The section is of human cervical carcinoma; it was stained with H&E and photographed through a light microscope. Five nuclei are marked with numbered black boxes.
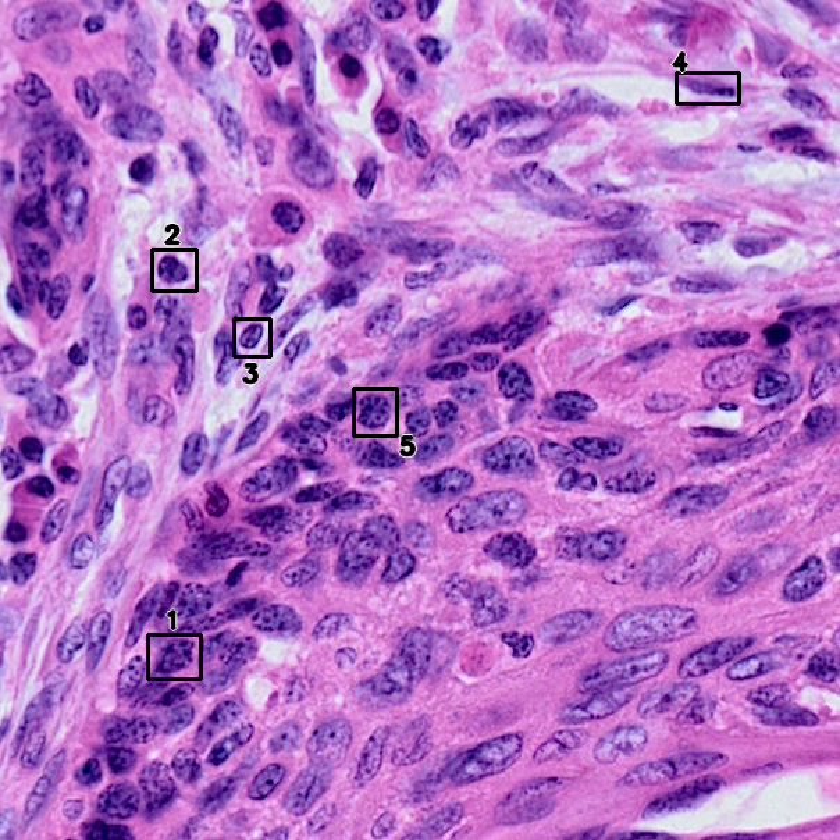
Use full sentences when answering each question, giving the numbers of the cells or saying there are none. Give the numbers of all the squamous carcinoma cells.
Cells 1 and 5 are recognised here as squamous carcinoma cells.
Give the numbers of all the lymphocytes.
To be specific, the cells numbered 2 and 3 are lymphocytes.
